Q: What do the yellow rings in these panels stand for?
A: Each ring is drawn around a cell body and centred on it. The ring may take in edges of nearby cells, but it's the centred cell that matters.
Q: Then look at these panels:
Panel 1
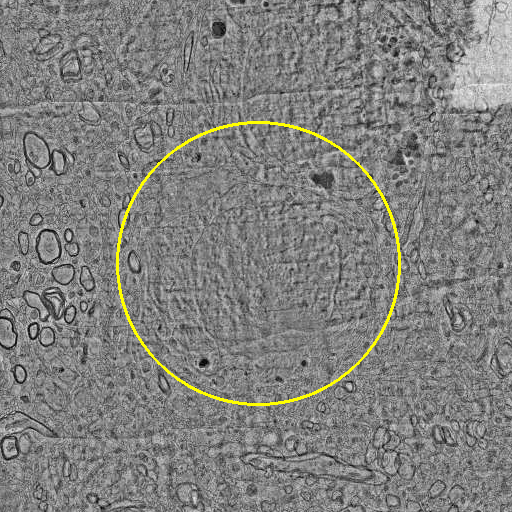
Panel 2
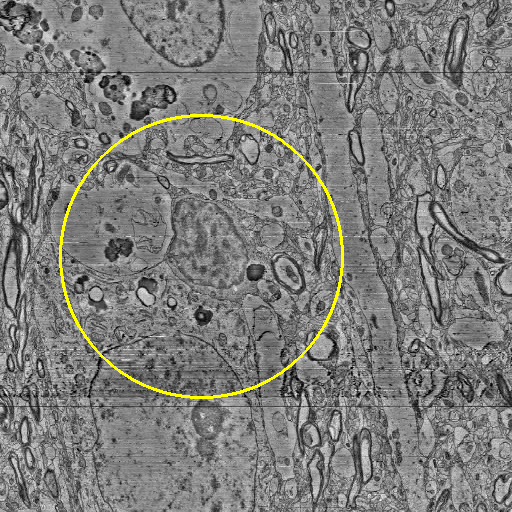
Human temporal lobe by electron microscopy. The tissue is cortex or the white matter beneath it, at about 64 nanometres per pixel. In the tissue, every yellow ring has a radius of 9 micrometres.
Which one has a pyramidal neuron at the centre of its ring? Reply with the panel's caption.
Panel 1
